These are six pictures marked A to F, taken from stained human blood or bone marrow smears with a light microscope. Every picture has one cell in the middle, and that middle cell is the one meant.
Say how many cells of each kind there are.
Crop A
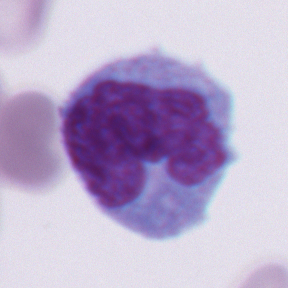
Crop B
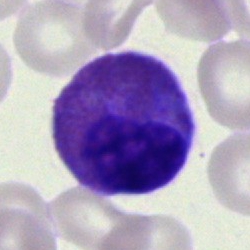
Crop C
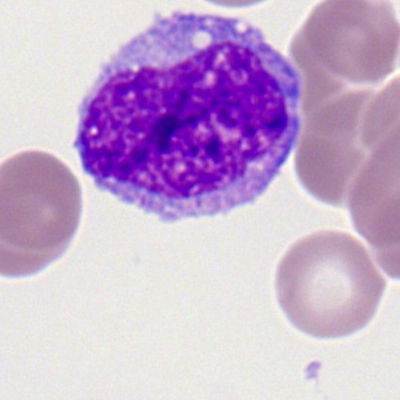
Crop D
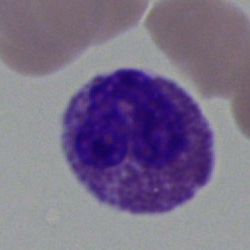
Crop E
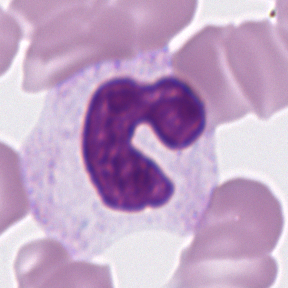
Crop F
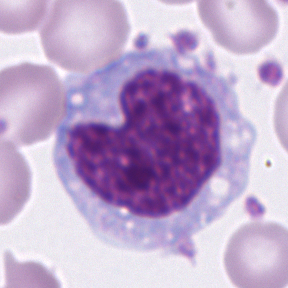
monocyte: 3
eosinophil: 2
band neutrophil: 1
